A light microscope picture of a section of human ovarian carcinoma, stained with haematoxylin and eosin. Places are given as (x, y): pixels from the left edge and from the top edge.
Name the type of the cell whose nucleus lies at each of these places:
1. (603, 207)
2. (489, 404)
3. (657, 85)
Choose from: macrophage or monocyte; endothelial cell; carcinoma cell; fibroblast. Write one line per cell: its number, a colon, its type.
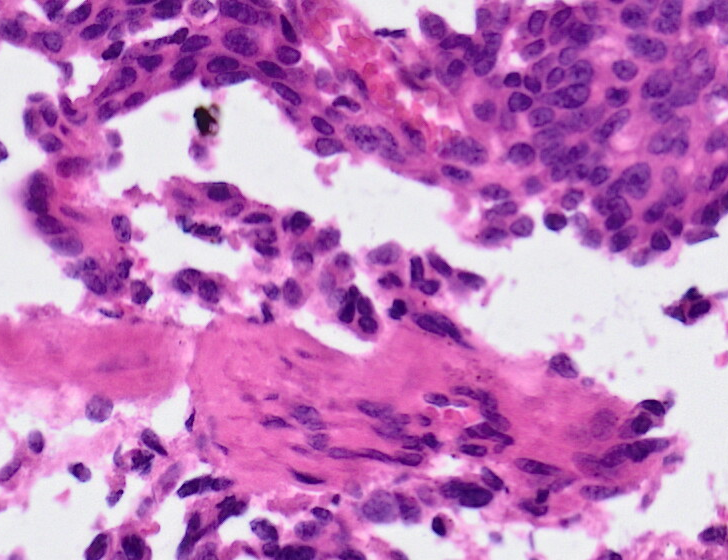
1: carcinoma cell
2: endothelial cell
3: carcinoma cell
